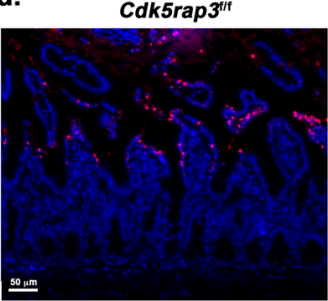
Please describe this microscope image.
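Section of small intestine showing long finger-like villi and, at their base, short tubular crypts, all lined by a single layer of columnar epithelial cells whose nuclei, stained blue, stand in a row along the basal side. The villi have a central core of connective tissue with scattered nuclei. Small, round, bright red-pink dots are scattered mostly toward the tips of the villi and within the upper parts of the villi, while the crypts at the bottom of the field are largely free of them. The spaces between villi appear dark and empty.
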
